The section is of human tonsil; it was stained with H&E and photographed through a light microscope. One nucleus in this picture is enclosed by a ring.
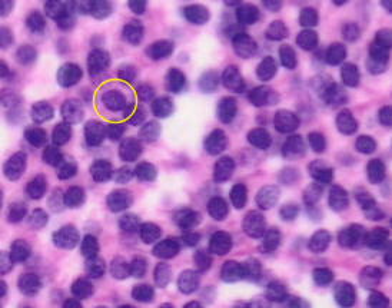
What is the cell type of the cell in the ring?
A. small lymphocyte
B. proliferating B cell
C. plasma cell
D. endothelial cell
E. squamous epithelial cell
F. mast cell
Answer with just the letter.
A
